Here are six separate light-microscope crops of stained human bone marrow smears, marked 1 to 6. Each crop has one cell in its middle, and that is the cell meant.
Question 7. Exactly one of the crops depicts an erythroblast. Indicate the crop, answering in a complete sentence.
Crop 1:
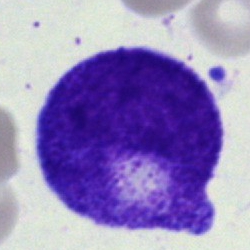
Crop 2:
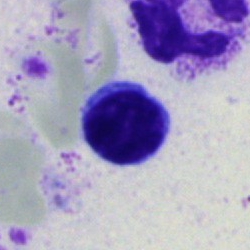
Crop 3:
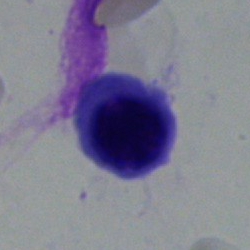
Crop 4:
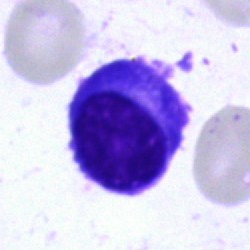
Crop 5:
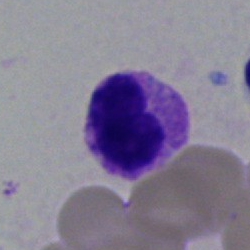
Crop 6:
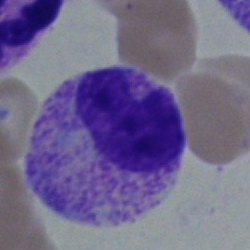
Of the crops shown, crop 3 depicts an erythroblast.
